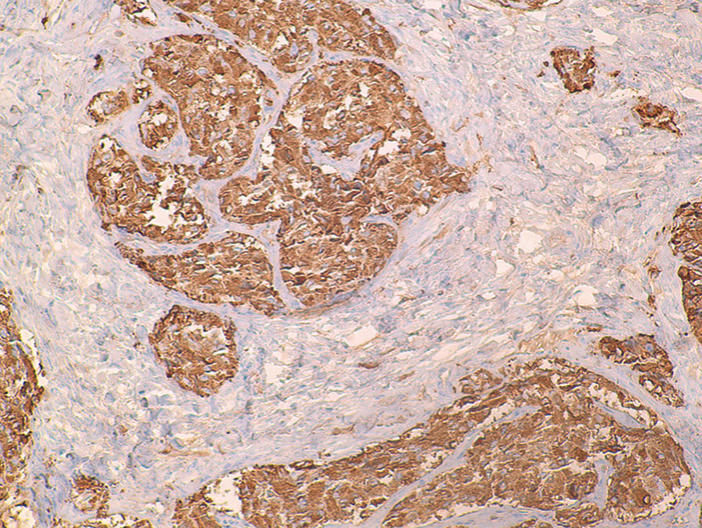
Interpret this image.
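This is a tumor made of rounded nests of closely packed cells lying in a loose, pale fibrous stroma. The tumor cells have strongly brown-stained cytoplasm, with some granular texture, while the stroma has only faint blue nuclei and is largely unstained. A large nest is divided by thin fibrous septa into smaller lobules, and smaller separate nests and an elongated cord of stained cells lie nearby.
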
